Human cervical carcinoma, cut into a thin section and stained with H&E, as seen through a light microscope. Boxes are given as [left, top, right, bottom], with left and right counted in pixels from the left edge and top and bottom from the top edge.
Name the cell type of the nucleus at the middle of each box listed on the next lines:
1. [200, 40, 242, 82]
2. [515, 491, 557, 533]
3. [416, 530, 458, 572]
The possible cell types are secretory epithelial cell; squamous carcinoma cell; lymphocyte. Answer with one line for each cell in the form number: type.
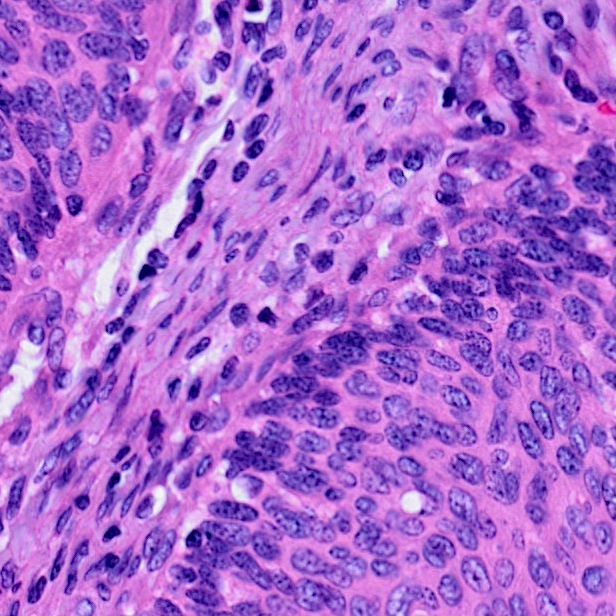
1: lymphocyte
2: squamous carcinoma cell
3: squamous carcinoma cell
